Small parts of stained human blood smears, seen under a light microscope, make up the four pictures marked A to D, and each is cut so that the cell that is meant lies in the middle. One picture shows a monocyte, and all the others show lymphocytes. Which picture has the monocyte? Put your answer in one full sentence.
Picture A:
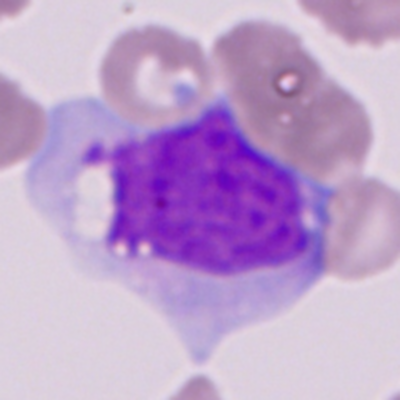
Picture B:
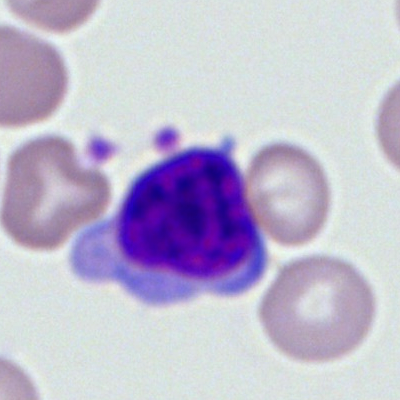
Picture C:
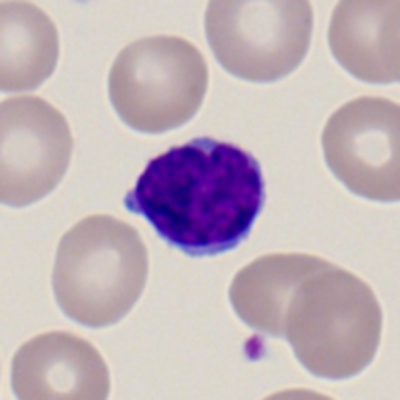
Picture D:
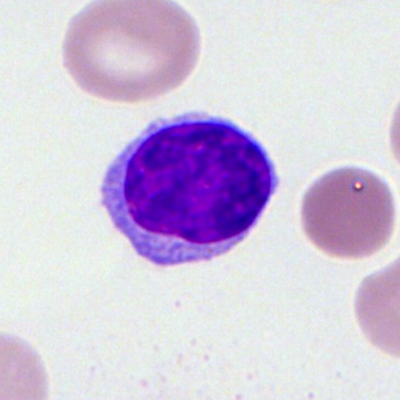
Picture A shows the monocyte.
